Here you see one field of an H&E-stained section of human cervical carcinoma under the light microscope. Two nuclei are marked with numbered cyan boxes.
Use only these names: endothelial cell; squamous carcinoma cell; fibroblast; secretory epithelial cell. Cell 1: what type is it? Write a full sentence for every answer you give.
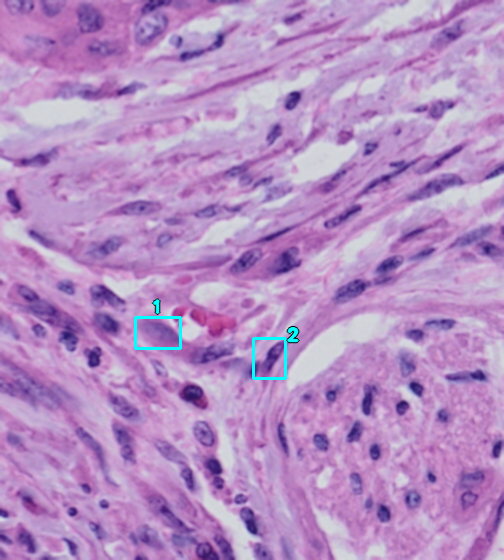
Regarding cell 1, this one is an endothelial cell.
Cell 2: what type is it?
As for number 2, that cell is a fibroblast.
